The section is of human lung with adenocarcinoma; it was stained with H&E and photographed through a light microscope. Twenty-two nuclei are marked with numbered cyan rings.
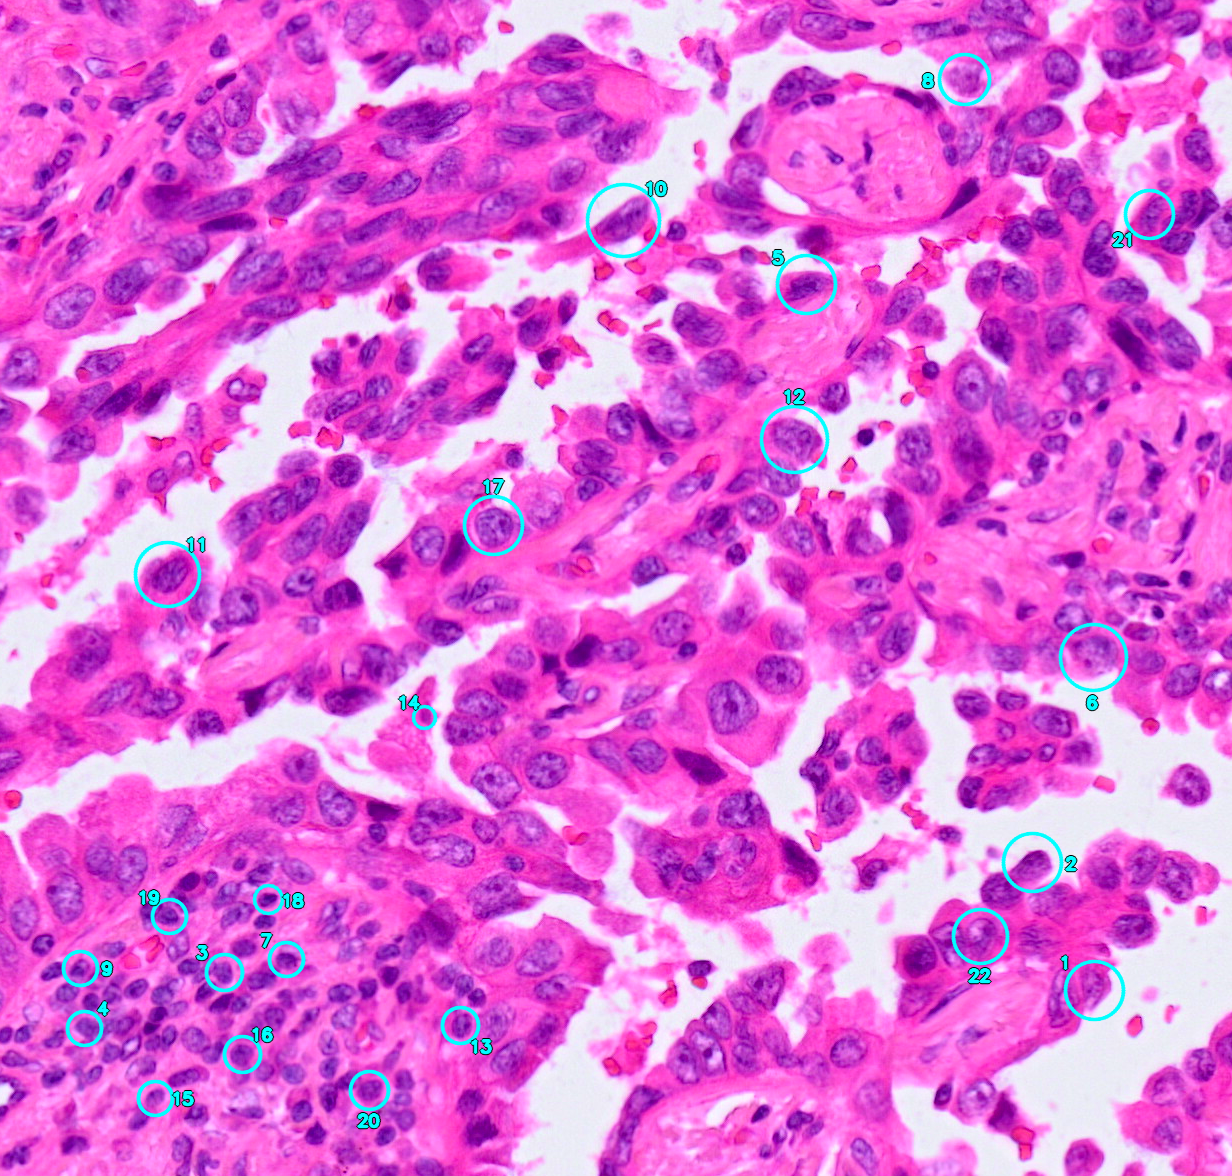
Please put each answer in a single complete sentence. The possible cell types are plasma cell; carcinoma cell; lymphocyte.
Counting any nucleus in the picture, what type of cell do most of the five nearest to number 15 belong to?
Plasma cells account for more than half of the five nuclei nearest to number 15.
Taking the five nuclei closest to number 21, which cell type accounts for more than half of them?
Of the five nuclei nearest to number 21, most belong to carcinoma cells.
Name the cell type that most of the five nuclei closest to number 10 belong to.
Around number 10, most of the five nearest nuclei are those of carcinoma cells.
